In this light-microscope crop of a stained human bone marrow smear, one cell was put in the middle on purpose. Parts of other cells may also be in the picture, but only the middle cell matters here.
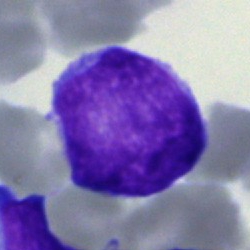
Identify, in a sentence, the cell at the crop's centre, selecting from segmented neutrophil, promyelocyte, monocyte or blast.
Within this crop, a blast occupies the central position.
